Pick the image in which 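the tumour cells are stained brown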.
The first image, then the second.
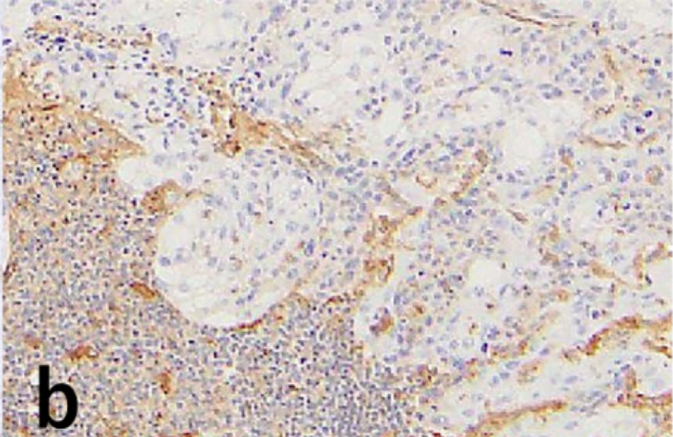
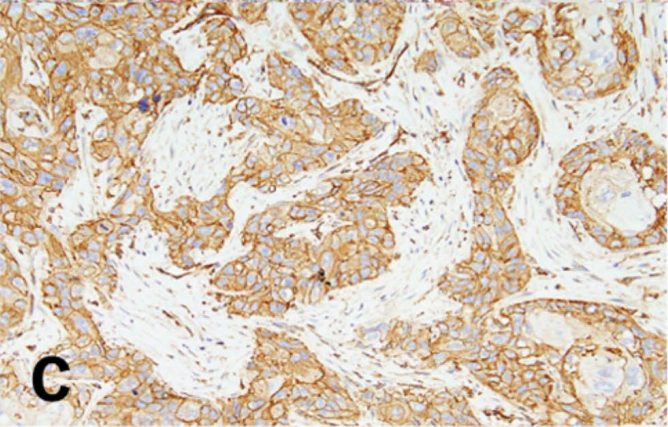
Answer: the second image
